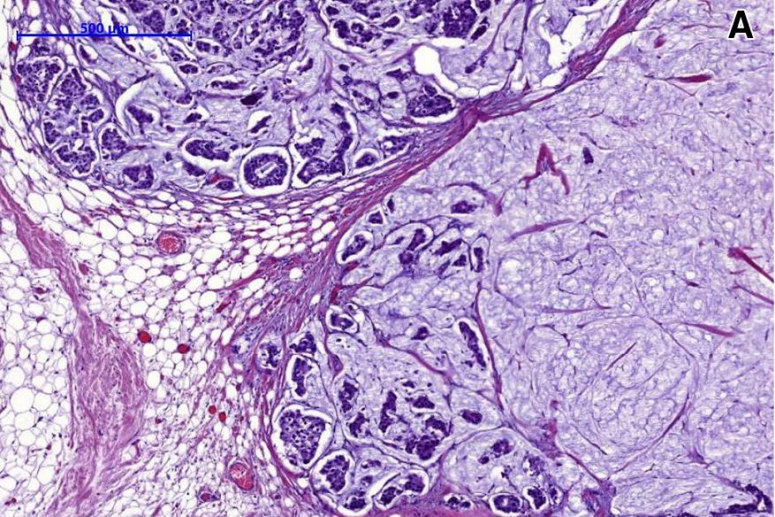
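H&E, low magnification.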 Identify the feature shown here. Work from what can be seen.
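Abundant extracellular mucus. Wide lobules of pale lilac, finely stranded material make up most of the field.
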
